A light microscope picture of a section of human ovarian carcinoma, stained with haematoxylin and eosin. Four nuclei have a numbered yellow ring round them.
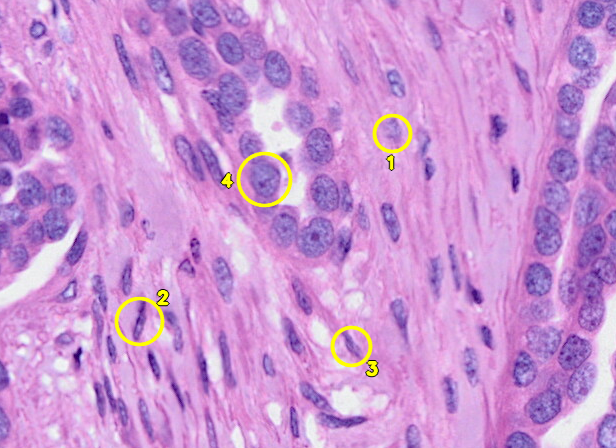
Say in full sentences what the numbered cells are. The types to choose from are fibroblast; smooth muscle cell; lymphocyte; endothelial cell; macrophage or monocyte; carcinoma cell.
Cell 1 is a fibroblast, cell 2 is a fibroblast, cell 3 is a fibroblast and cell 4 is a carcinoma cell.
